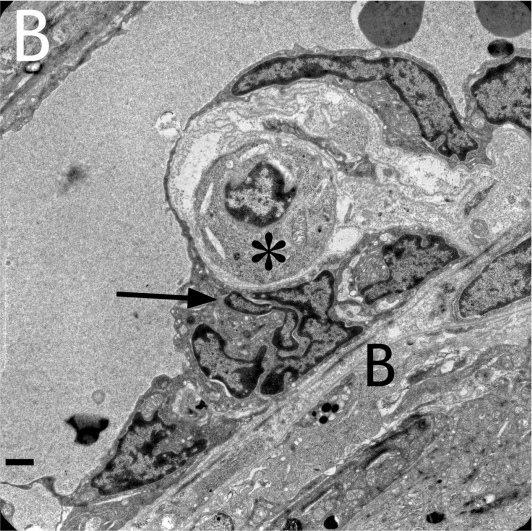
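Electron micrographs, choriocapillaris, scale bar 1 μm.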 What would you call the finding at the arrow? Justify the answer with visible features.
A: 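The arrow points to a dark nucleus with a highly irregular, lobed and broken outline. So: extremely frayed or fragmented nucleus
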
